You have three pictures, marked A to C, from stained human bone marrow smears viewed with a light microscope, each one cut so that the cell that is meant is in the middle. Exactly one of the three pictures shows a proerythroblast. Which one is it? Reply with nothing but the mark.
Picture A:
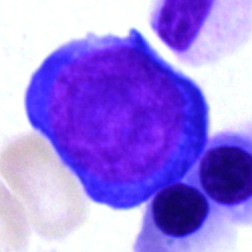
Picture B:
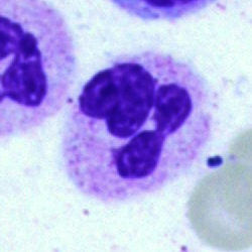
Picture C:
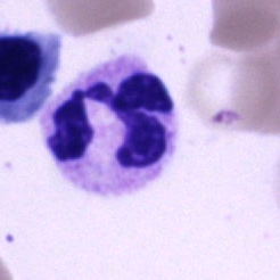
A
